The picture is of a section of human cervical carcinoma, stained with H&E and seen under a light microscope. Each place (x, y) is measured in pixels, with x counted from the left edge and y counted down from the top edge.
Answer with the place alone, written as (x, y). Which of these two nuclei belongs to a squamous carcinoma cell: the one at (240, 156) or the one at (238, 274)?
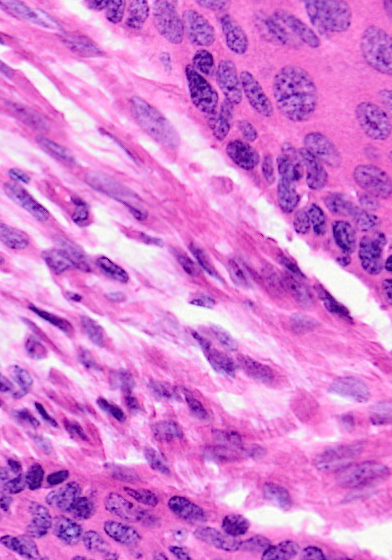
(240, 156)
